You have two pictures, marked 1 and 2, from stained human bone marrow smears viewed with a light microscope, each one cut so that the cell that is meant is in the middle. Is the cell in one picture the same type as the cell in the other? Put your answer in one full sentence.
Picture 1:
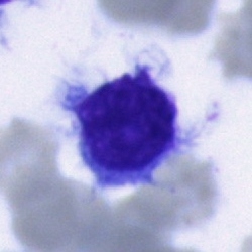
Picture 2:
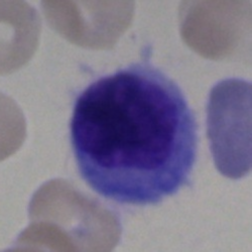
Yes; the cells in both pictures are hairy cells.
